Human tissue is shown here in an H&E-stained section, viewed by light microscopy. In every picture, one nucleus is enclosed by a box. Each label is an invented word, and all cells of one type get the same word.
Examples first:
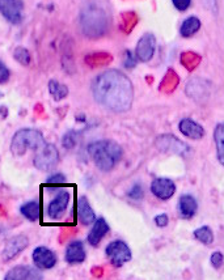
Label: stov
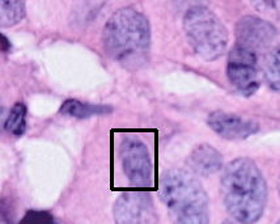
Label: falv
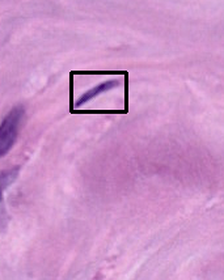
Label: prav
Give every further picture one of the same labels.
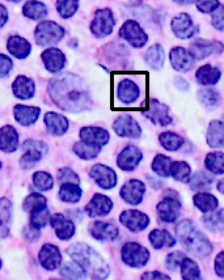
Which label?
stov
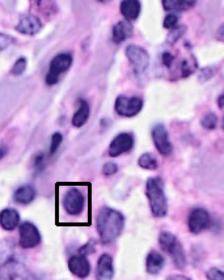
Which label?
stov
